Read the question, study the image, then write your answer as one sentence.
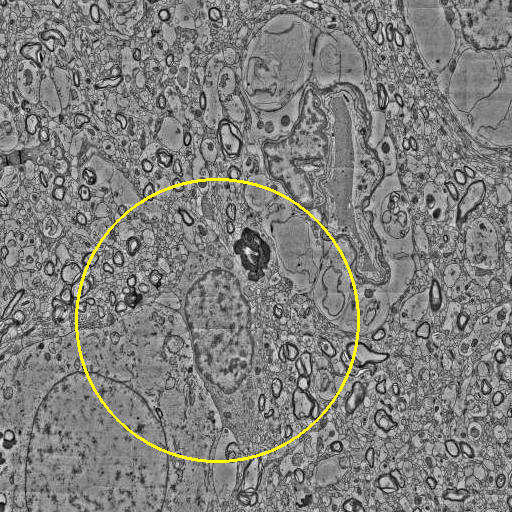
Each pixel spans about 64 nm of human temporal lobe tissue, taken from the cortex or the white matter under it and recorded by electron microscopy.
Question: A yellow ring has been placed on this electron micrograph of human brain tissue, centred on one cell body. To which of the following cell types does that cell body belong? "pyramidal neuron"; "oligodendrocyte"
That cell body belongs to an oligodendrocyte.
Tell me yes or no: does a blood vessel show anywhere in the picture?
Yes.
